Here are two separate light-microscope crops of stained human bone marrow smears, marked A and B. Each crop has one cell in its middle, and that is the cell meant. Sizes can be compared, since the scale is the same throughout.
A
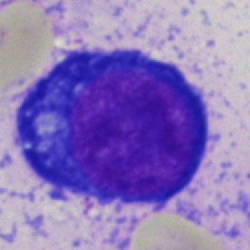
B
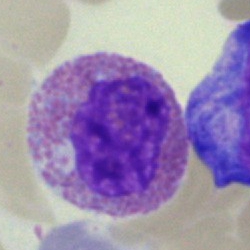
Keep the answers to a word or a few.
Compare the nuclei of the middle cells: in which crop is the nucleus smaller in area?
B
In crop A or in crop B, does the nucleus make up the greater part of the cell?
A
